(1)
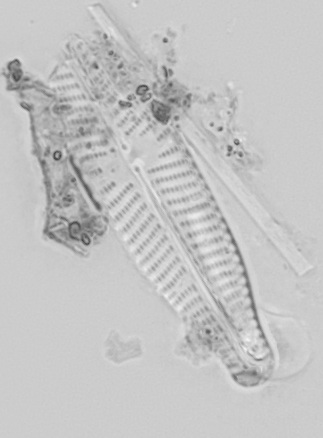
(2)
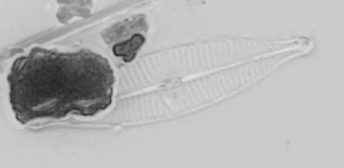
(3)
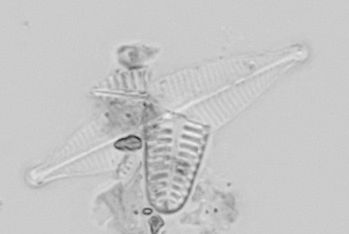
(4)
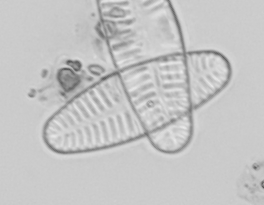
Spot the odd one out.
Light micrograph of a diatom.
Picture 4 (Planothidium among Navicula).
